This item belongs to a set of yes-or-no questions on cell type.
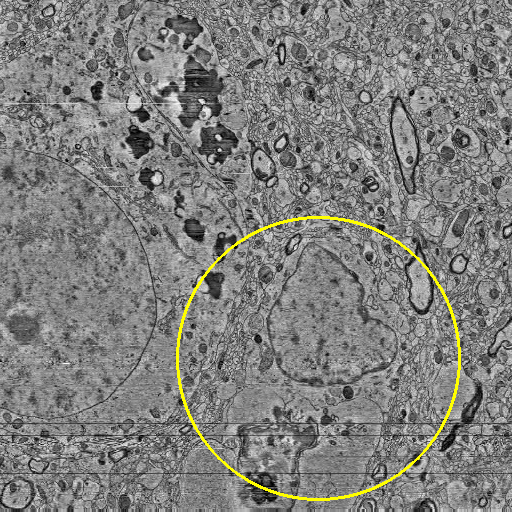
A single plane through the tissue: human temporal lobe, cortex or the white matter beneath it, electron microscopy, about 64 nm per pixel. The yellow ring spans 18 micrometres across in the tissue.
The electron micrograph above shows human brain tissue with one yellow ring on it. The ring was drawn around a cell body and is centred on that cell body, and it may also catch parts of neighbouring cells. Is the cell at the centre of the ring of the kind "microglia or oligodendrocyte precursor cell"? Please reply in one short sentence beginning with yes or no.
Yes, that cell is of the named kind.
